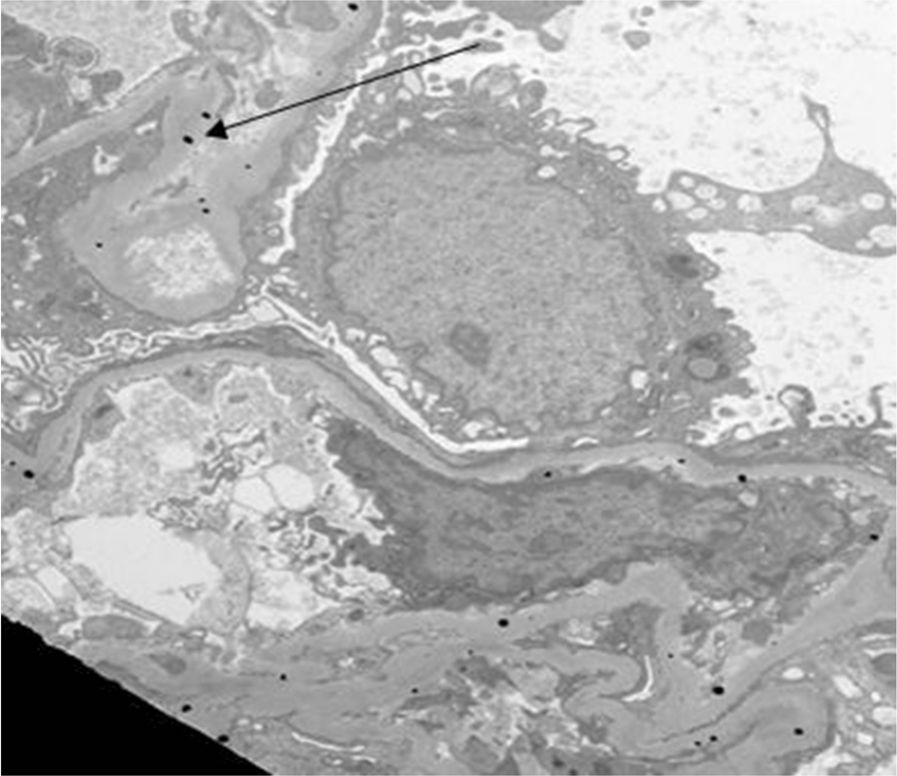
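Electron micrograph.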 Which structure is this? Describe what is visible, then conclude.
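Thick grey basement membranes run in long curving bands across the field. A large cell with an oval nucleus lies between membrane bands. The answer: glomerular capillary loop.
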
